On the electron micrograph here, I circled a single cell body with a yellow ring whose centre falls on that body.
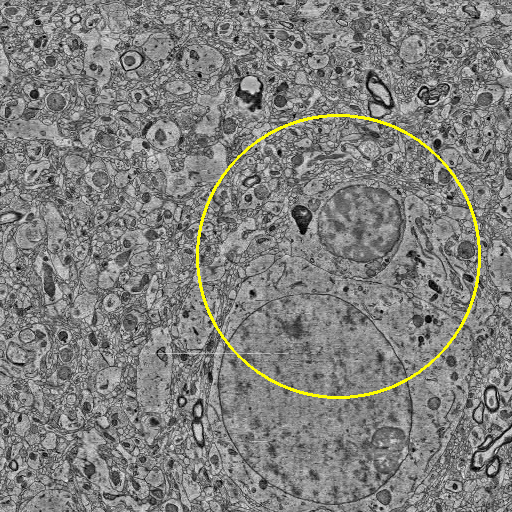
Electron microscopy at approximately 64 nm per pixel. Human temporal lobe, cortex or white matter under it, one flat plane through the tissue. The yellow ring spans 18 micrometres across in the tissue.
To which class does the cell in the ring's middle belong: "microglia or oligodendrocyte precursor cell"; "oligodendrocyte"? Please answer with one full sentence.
In this picture, the cell body circled at the ring's centre belongs to an oligodendrocyte.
